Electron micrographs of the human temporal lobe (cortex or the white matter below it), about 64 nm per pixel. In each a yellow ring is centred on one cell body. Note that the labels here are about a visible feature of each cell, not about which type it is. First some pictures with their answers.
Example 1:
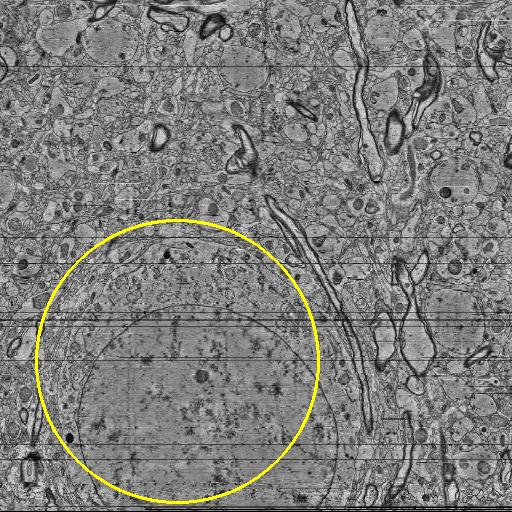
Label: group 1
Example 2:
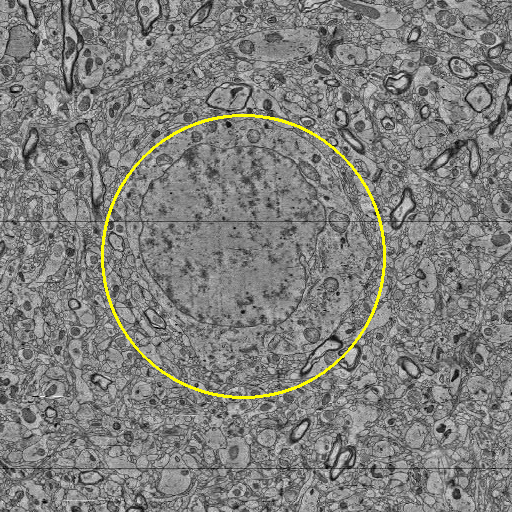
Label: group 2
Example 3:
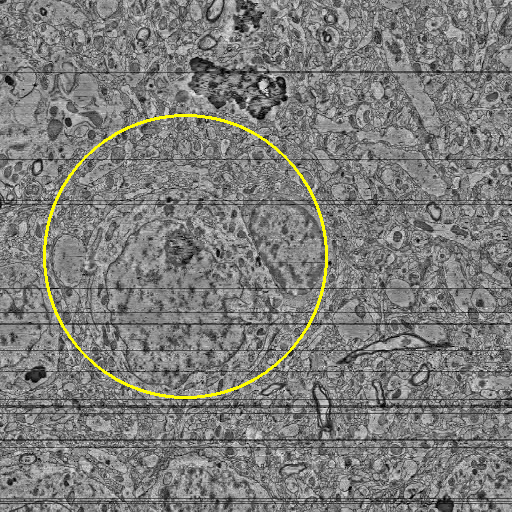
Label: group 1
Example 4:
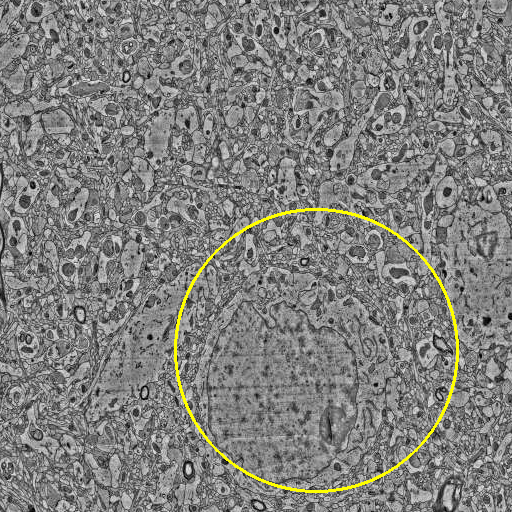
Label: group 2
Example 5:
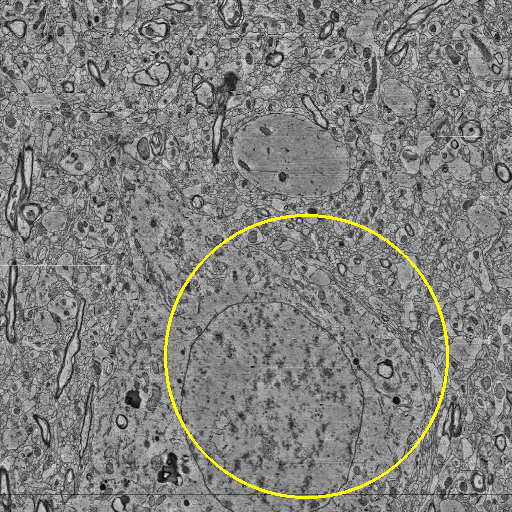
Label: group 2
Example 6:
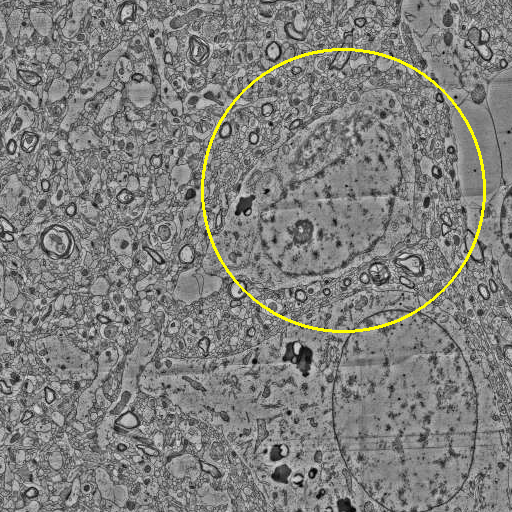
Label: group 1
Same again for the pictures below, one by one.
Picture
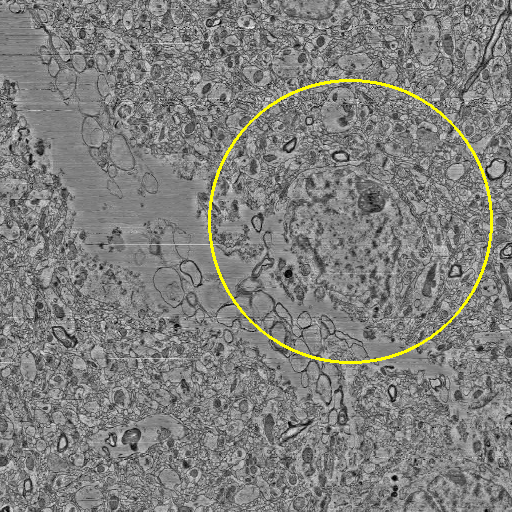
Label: group 1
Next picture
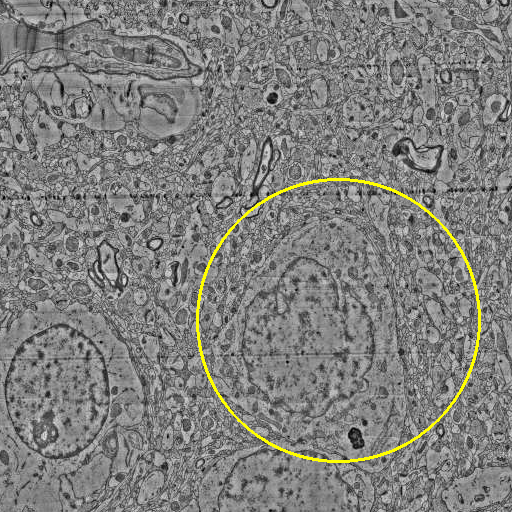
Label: group 2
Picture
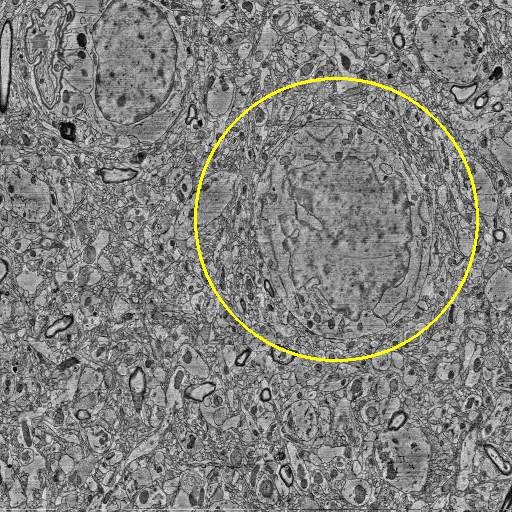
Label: group 2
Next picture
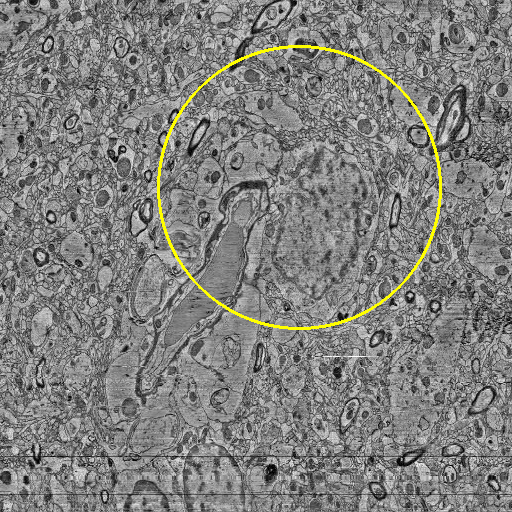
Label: group 2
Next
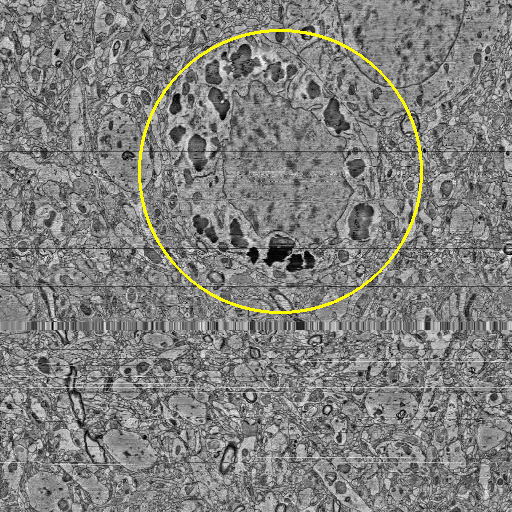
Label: group 2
